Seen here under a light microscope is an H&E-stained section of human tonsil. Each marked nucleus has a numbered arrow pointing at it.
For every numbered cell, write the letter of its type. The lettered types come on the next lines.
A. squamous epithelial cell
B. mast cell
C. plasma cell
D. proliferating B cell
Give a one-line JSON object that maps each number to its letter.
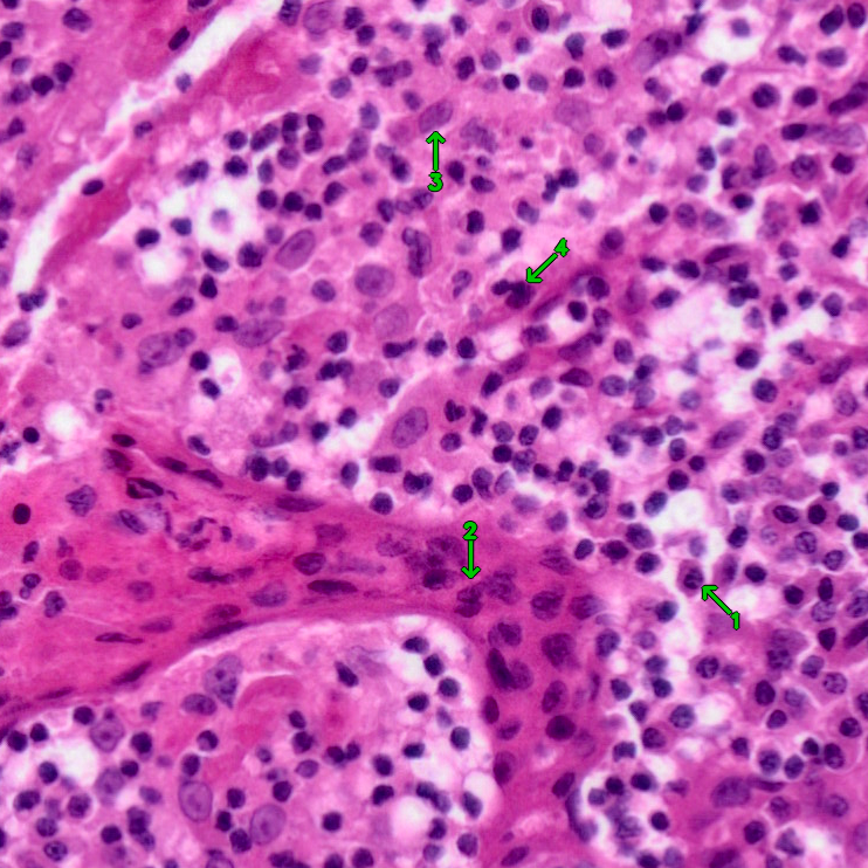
{"1": "C", "2": "A", "3": "A", "4": "A"}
